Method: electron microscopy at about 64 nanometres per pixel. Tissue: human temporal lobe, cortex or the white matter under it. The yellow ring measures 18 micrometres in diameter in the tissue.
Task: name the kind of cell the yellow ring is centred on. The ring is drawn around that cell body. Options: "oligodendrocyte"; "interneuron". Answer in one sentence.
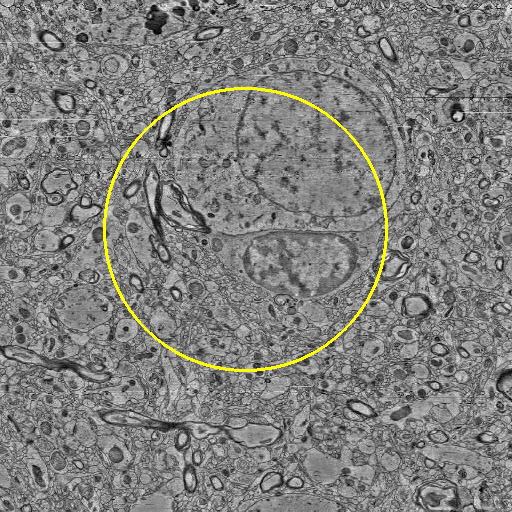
This cell body belongs to an oligodendrocyte.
